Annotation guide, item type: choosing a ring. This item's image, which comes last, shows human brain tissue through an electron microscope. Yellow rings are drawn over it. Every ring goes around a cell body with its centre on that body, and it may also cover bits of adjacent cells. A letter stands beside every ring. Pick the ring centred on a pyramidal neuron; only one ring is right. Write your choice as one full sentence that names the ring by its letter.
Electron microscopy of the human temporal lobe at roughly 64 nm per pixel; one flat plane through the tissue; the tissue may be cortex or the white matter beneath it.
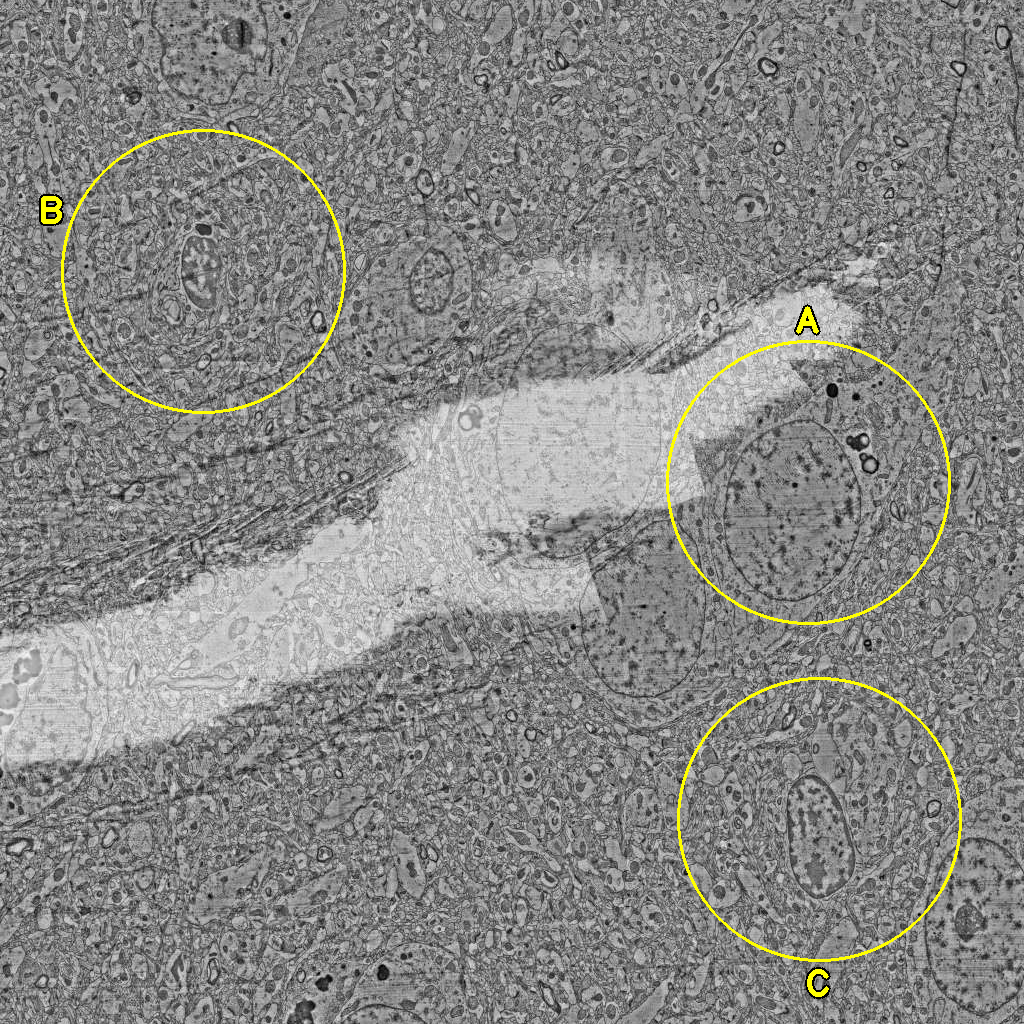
In the image, Ring A is centred on a cell of the kind requested.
